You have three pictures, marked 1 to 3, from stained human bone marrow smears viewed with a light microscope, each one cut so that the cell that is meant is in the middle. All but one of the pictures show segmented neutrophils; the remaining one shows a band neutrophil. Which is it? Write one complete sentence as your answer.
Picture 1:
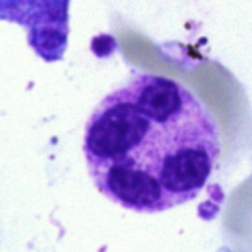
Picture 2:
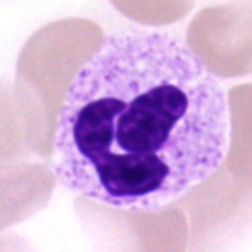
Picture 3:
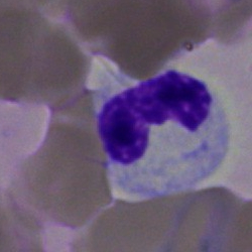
Picture 3 shows the band neutrophil.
